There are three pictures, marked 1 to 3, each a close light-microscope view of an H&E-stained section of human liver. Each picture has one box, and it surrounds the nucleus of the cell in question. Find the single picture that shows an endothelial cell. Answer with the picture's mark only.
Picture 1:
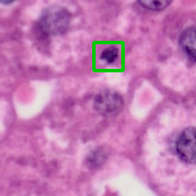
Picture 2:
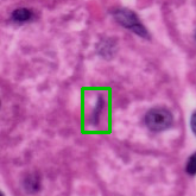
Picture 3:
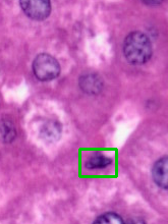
2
